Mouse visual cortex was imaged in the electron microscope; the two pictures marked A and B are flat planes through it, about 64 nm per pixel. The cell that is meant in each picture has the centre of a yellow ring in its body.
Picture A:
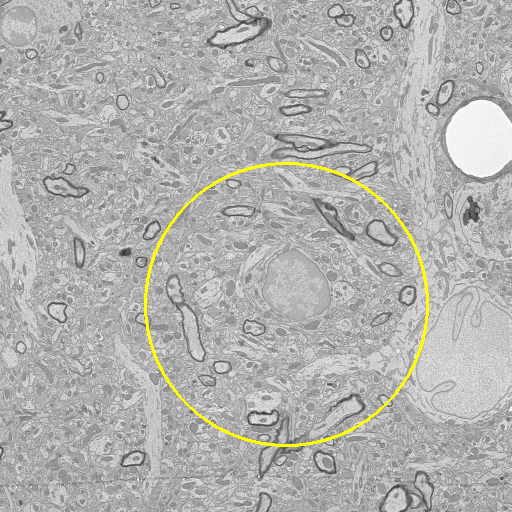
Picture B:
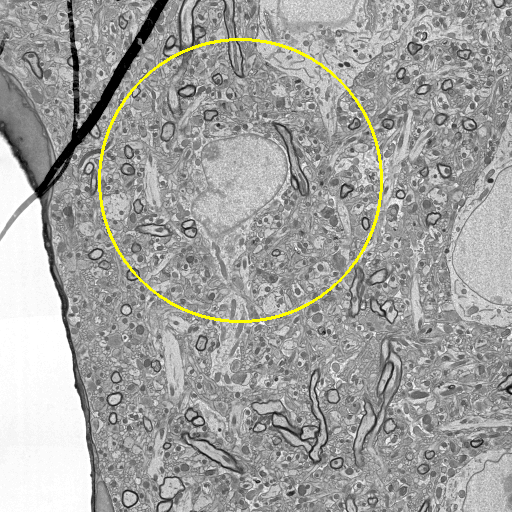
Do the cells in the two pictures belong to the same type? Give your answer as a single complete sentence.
No, picture A shows a microglial cell and picture B shows an astrocyte.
